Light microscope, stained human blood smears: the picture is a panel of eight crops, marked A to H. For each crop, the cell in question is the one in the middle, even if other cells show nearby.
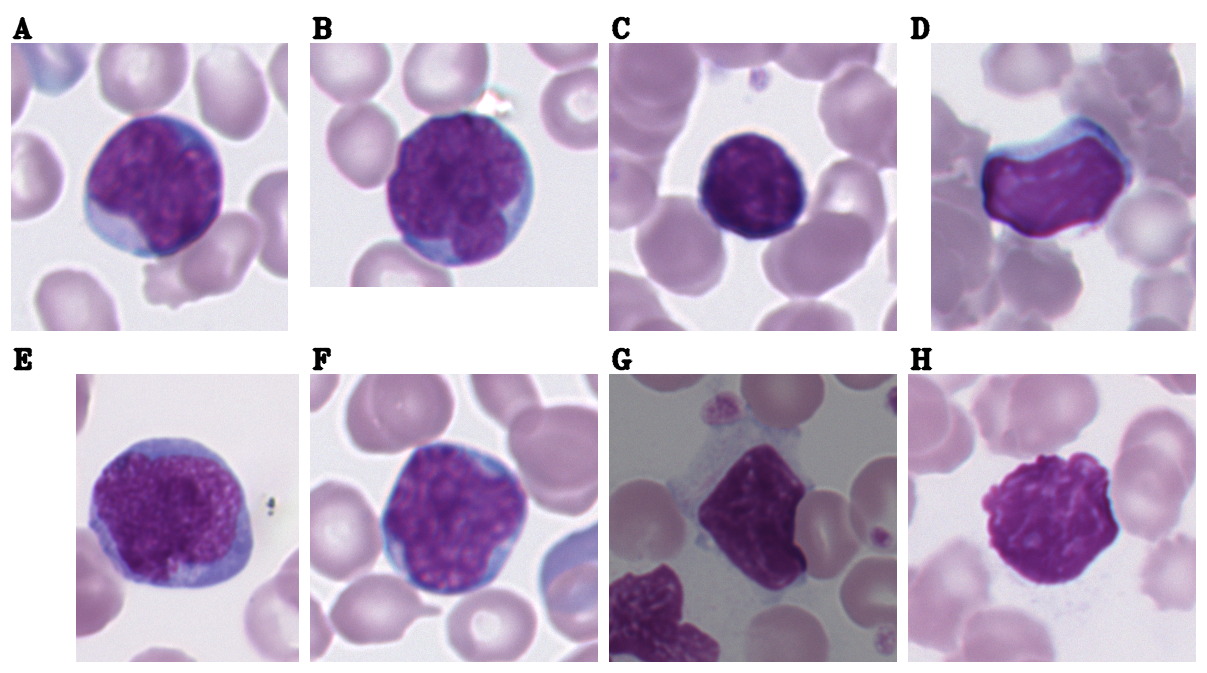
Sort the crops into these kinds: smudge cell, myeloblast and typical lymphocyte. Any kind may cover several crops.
A: myeloblast
B: myeloblast
C: typical lymphocyte
D: typical lymphocyte
E: myeloblast
F: myeloblast
G: typical lymphocyte
H: smudge cell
